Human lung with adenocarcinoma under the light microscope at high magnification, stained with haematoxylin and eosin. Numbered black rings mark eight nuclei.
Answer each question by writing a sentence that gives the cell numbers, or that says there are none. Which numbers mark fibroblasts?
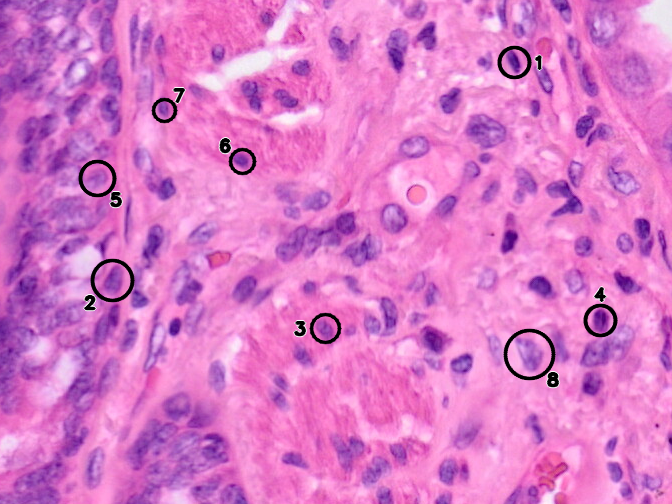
Cell 8 is a fibroblast, which is true of none of the other numbered cells.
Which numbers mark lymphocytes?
Of the marked cells, the one numbered 1 is a lymphocyte and the rest are not.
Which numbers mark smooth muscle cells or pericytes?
The cells the numbers 3, 6 and 7 point to are smooth muscle cells or pericytes.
